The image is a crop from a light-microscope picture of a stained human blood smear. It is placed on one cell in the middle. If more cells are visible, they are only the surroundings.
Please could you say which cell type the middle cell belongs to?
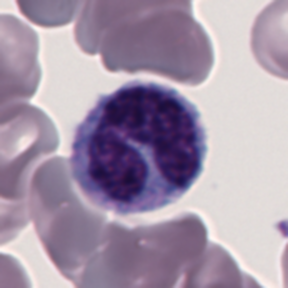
monocyte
